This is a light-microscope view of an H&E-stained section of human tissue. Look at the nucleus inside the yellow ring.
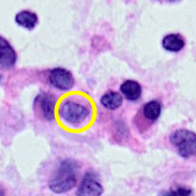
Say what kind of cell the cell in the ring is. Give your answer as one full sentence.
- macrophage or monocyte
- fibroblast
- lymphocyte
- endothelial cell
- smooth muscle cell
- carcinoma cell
For the purposes of cell typing, the cell in the ring is categorized as a macrophage or monocyte.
